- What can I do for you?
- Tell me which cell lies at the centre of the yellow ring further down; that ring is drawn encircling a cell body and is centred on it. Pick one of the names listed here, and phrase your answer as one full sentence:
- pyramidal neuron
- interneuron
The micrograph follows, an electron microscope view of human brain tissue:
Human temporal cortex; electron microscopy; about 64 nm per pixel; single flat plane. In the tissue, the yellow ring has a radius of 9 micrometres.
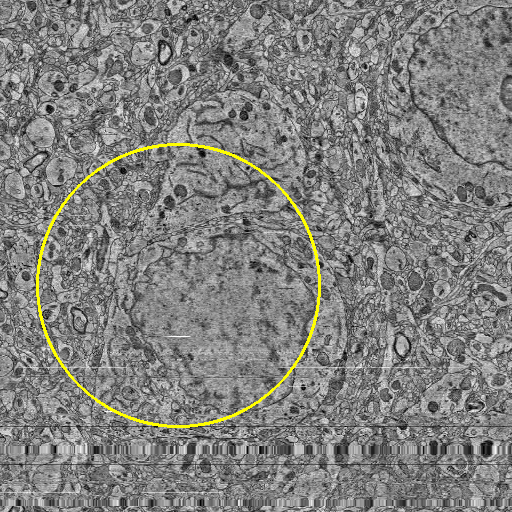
The cell whose body lies at the centre of the yellow ring is an interneuron.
